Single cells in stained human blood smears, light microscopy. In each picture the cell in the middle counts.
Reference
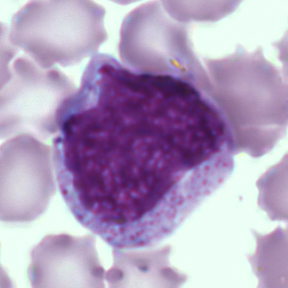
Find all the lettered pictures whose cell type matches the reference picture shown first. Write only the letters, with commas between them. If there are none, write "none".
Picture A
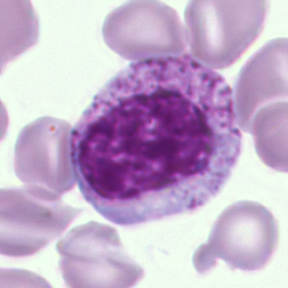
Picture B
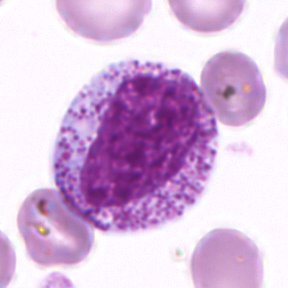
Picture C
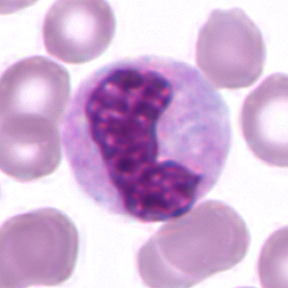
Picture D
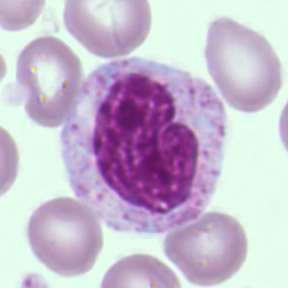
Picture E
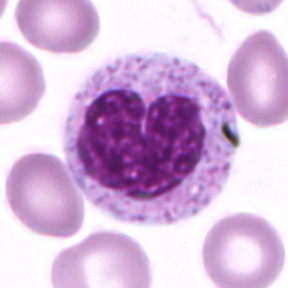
A, B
